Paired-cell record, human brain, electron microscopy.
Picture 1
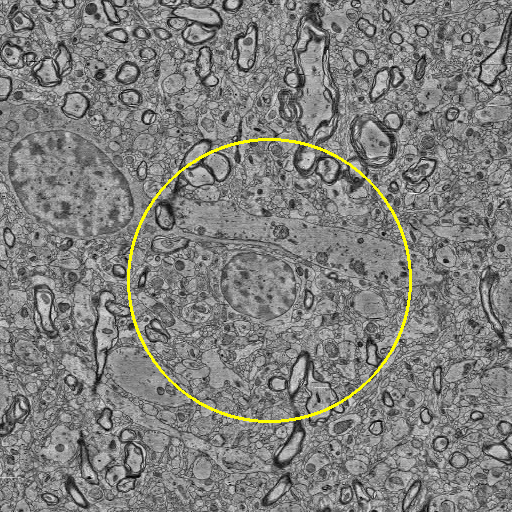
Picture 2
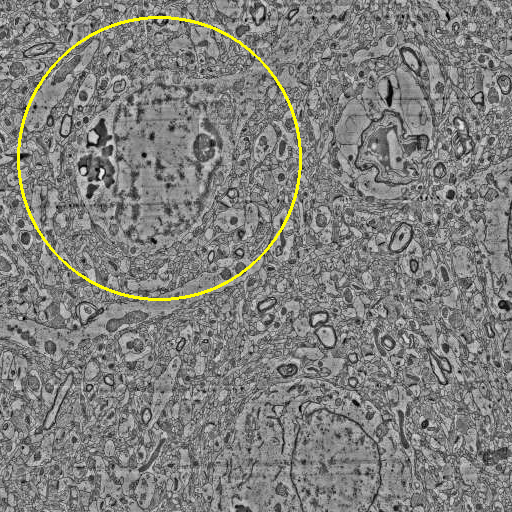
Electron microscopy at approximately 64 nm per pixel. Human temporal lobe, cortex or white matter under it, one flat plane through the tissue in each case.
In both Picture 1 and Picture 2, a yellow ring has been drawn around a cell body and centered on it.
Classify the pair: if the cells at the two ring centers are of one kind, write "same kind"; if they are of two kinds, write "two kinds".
two kinds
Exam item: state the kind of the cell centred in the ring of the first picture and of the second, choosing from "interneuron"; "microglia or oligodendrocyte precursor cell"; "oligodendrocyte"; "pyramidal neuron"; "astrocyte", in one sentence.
The first picture shows a microglial cell or oligodendrocyte precursor cell at the ring centre and the second shows an interneuron.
